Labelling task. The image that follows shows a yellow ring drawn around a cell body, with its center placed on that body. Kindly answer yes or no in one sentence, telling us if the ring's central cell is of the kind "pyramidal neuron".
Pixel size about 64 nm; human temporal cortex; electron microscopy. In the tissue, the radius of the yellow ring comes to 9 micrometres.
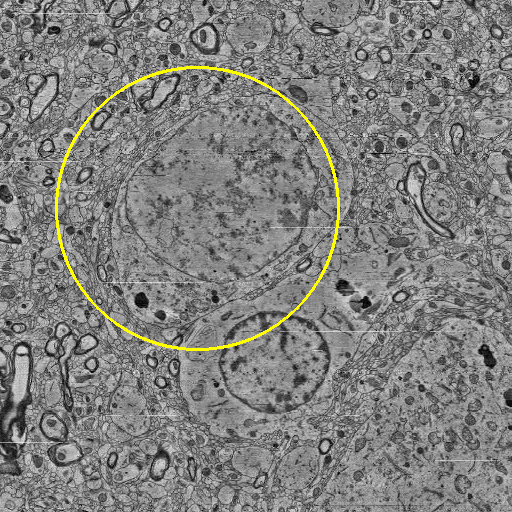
Yes, in this image the cell at the ring's center is of that kind.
